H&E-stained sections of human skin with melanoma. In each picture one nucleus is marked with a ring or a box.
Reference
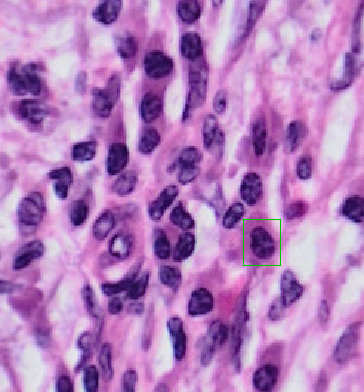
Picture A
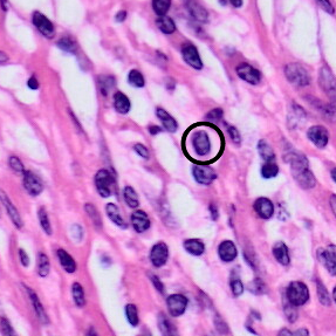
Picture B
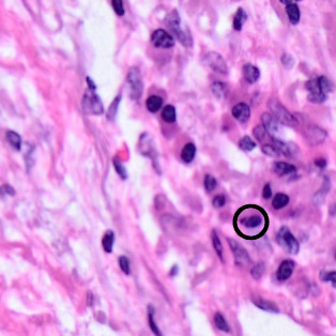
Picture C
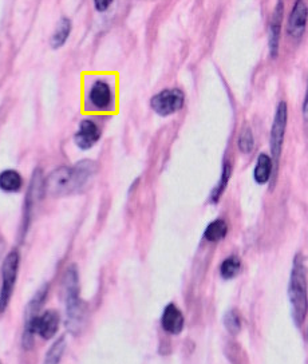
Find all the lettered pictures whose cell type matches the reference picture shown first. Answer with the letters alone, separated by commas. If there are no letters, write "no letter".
B, C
